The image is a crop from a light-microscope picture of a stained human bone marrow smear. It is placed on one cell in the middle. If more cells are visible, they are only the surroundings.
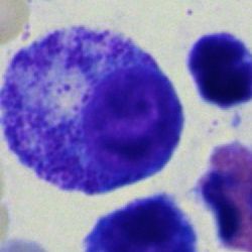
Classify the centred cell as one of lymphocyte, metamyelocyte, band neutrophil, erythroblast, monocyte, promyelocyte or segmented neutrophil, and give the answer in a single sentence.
The cell marked by its central position in the crop is a promyelocyte.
